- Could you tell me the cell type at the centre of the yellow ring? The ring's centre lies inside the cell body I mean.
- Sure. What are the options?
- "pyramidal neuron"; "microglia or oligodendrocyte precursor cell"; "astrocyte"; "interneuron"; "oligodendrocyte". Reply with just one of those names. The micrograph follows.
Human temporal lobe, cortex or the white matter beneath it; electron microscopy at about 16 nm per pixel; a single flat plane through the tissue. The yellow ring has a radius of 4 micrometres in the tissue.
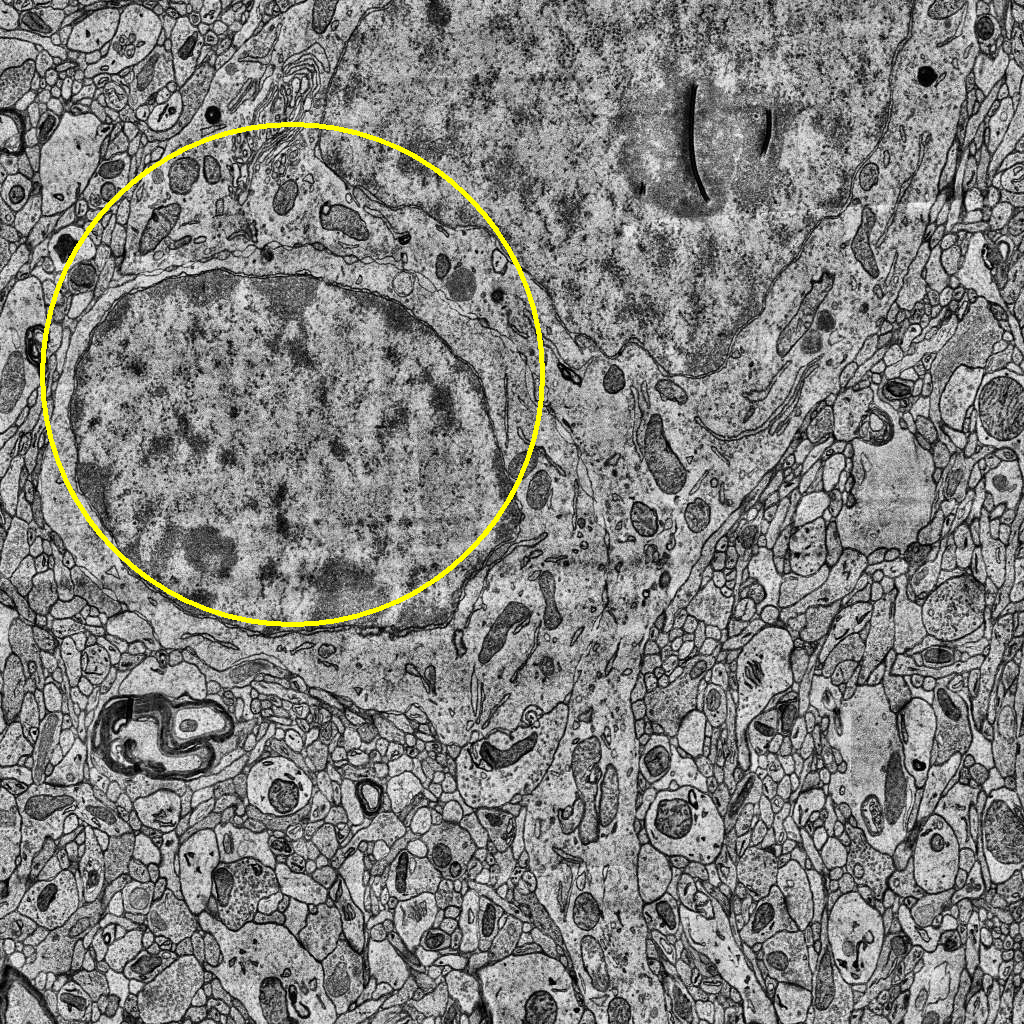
microglia or oligodendrocyte precursor cell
